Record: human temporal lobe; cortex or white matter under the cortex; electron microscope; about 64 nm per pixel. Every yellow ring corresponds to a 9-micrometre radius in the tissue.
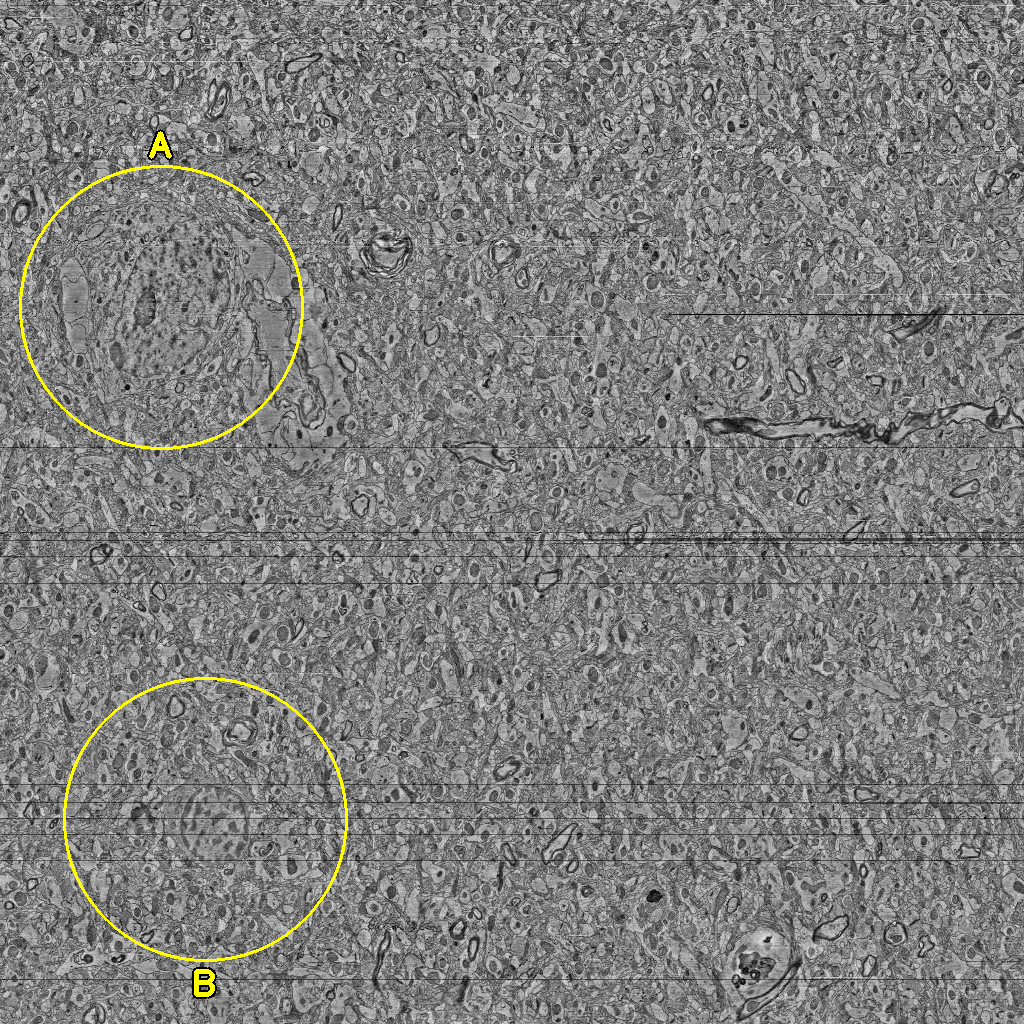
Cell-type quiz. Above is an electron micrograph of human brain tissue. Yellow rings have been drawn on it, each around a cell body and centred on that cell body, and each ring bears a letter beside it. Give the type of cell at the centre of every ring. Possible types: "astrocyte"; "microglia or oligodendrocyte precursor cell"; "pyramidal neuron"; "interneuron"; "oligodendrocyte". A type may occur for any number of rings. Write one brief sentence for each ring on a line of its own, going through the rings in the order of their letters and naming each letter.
Ring A is centred on the cell body of an interneuron.
Ring B is centred on the cell body of an oligodendrocyte.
